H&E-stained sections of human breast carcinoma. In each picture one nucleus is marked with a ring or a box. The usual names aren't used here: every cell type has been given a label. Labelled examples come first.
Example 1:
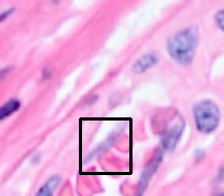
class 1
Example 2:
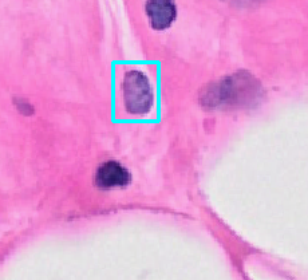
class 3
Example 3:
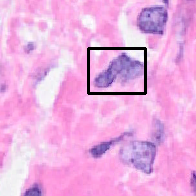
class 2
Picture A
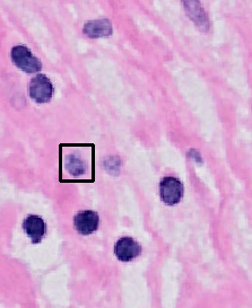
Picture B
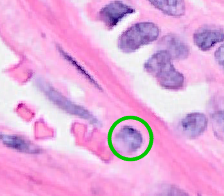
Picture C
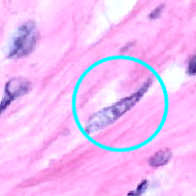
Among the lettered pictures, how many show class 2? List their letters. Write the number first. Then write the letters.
1: C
